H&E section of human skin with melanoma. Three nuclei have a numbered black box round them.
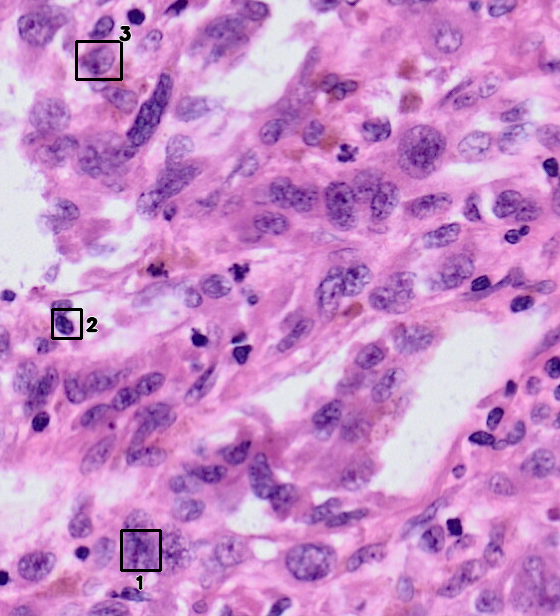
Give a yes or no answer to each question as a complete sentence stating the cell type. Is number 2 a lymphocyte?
Yes, number 2 is assigned to a cell that is a lymphocyte.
